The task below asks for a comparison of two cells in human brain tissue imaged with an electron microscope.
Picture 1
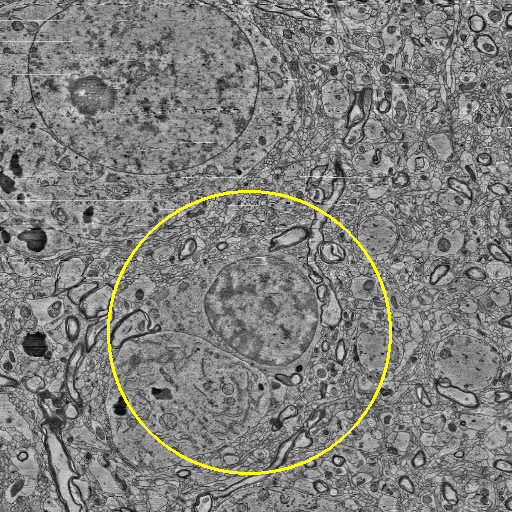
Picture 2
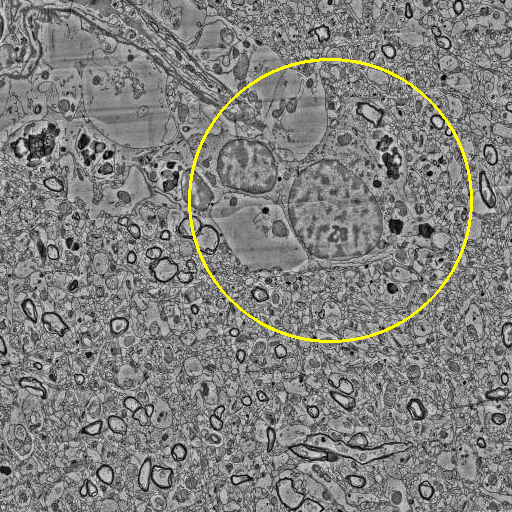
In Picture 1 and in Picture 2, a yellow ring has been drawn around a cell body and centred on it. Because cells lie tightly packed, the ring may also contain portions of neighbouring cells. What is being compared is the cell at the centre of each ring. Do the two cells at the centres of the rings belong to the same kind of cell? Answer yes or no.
yes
